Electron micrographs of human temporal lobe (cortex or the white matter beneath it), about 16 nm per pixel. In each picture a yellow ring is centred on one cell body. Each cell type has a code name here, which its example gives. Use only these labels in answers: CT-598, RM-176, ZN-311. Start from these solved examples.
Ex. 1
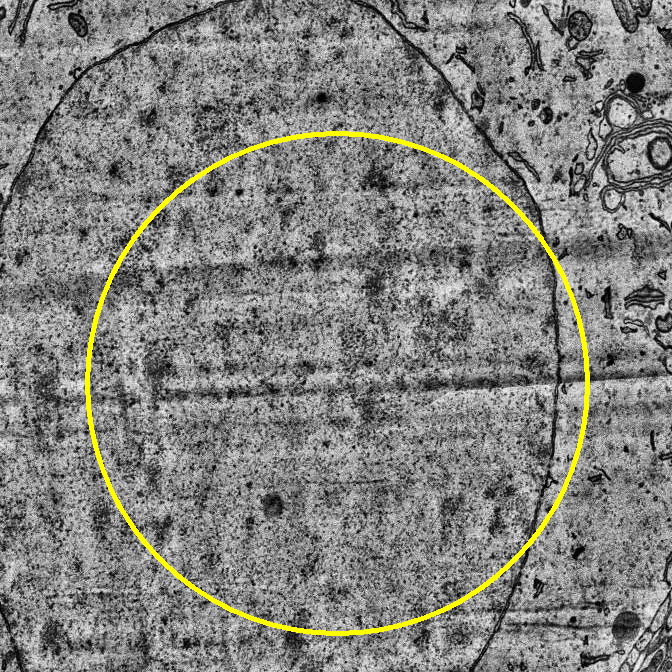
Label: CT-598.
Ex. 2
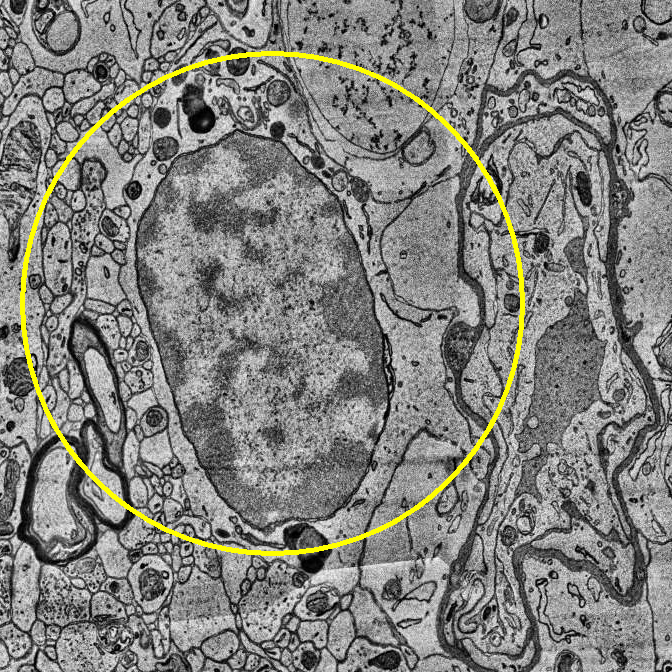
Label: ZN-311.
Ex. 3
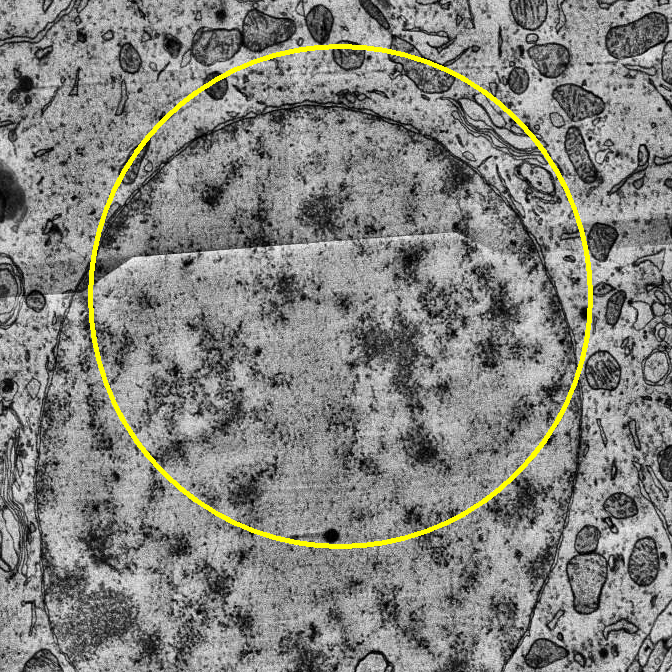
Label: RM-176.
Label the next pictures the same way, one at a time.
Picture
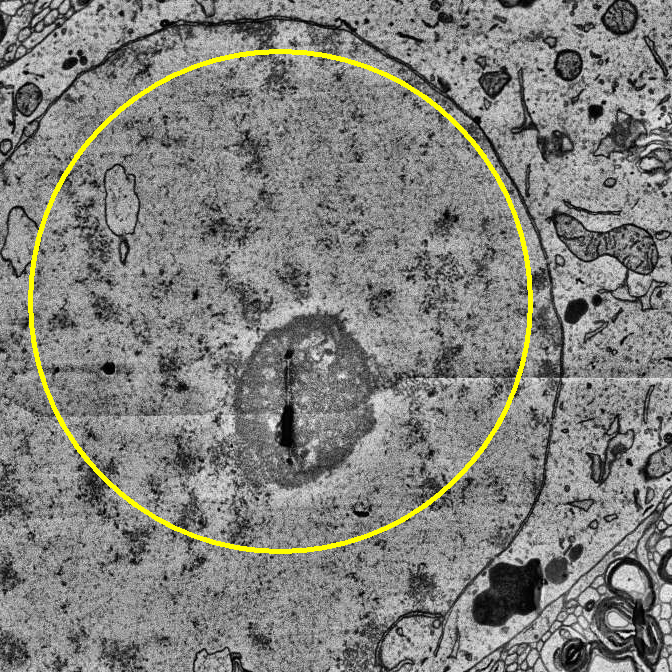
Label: CT-598.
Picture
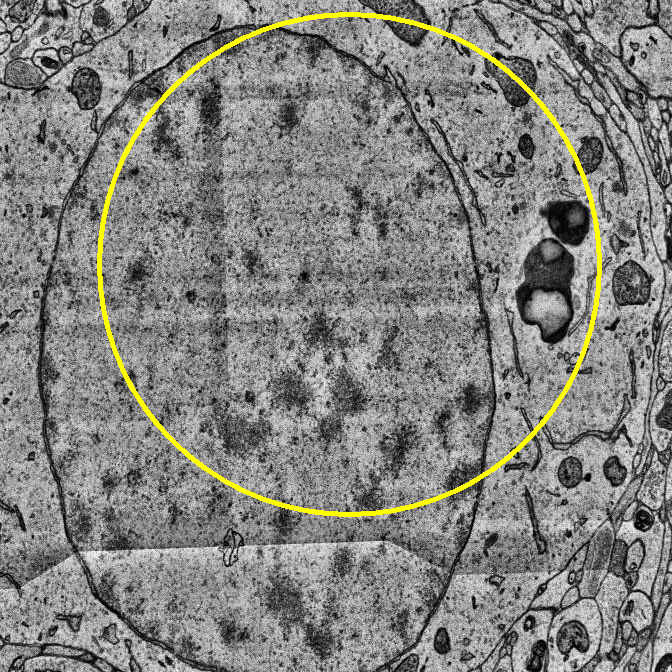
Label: CT-598.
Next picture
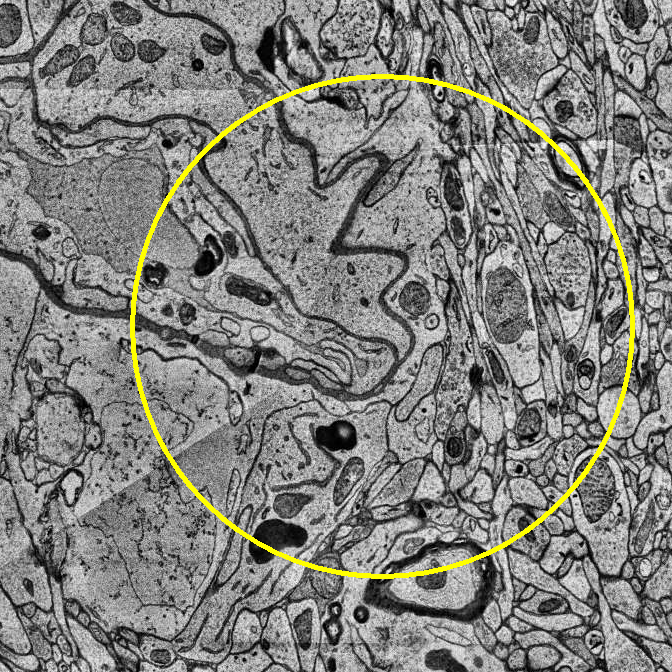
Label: RM-176.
